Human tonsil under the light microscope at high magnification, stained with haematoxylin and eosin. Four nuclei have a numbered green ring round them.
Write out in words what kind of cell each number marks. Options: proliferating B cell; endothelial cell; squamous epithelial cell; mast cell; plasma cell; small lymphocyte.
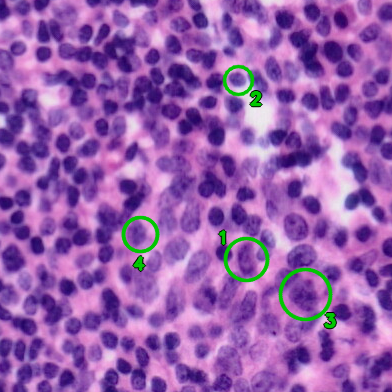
Cell 1 is a proliferating B cell, cell 2 is a small lymphocyte, cell 3 is a proliferating B cell and cell 4 is a proliferating B cell.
